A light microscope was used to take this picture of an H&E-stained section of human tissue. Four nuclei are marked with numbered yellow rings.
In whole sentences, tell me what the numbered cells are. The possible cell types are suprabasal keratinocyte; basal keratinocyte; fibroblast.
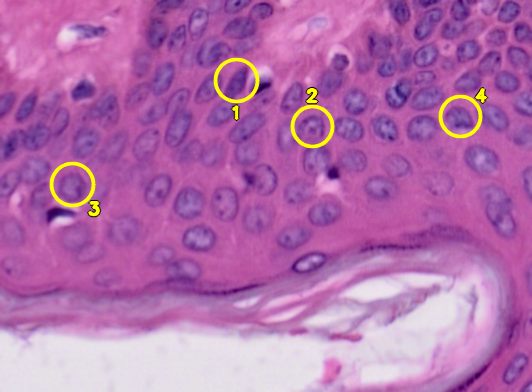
Cell 1 is a basal keratinocyte, cell 2 is a suprabasal keratinocyte, cell 3 is a basal keratinocyte and cell 4 is a suprabasal keratinocyte.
